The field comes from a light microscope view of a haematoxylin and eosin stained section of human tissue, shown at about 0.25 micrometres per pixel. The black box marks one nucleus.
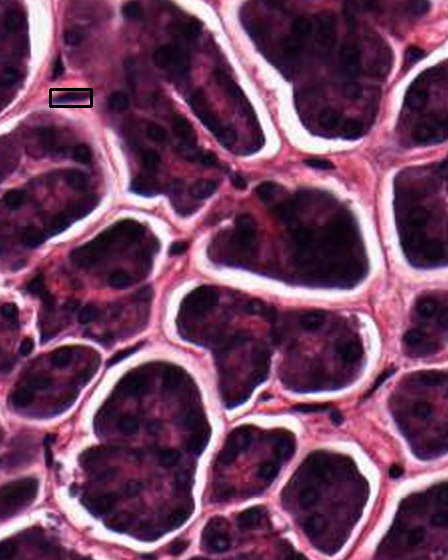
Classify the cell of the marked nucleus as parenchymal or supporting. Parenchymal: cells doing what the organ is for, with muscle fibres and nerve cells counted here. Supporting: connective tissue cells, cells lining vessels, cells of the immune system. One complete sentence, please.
It is a supporting cell to which the marked nucleus belongs.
